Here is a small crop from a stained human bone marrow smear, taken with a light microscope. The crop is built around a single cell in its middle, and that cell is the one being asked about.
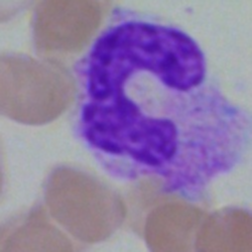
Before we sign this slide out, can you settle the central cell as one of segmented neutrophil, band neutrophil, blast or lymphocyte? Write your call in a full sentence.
As for the cell in the middle, it is a band neutrophil.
